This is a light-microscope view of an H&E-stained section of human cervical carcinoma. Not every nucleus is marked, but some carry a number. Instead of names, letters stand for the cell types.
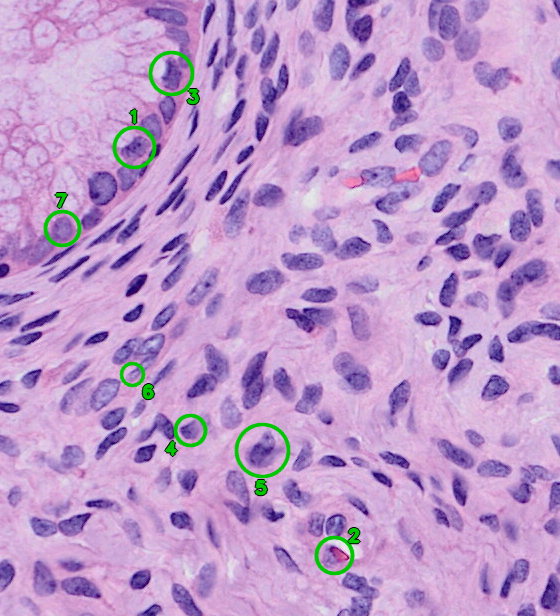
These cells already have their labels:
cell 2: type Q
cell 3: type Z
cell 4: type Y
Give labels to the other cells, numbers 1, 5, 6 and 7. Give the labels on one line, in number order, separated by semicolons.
type Z; type Y; type Q; type Z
